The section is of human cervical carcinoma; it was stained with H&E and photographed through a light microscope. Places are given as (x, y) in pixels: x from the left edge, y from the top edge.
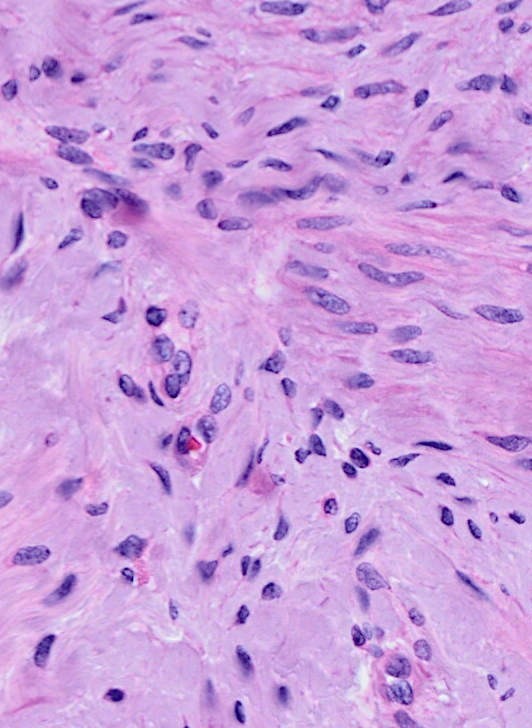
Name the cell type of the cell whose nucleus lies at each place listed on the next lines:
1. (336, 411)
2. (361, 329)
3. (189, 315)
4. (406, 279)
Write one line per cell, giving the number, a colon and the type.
1: fibroblast
2: smooth muscle cell
3: endothelial cell
4: smooth muscle cell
